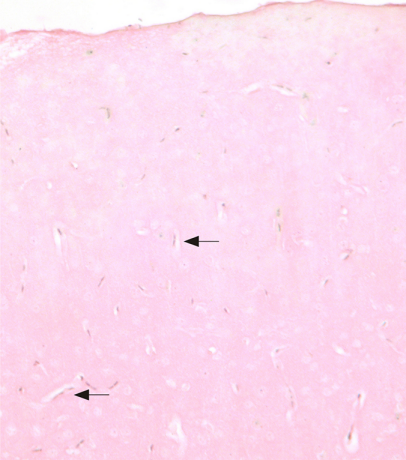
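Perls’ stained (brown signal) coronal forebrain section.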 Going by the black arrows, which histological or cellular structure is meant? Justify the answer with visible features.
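Vessels. The arrows point to thin elongated structures with a narrow pale lumen. Similar elongated tubular profiles are scattered through the pale tissue.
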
